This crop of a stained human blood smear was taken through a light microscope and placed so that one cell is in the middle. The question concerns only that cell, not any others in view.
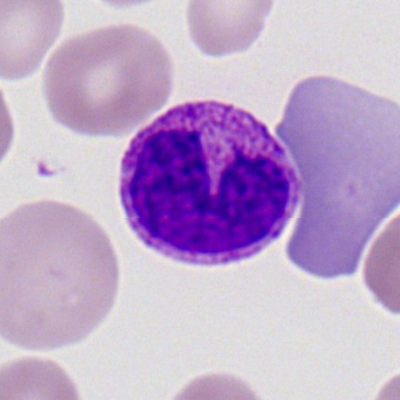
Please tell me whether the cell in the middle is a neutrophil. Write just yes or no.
no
